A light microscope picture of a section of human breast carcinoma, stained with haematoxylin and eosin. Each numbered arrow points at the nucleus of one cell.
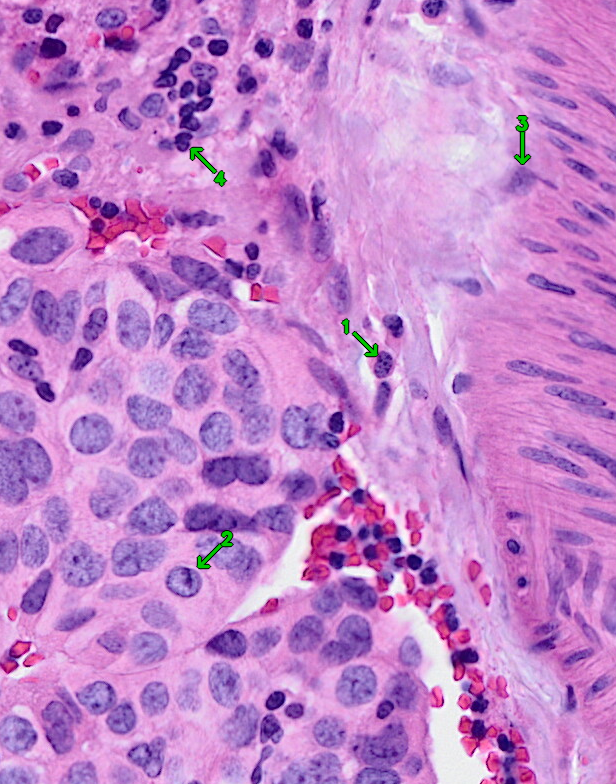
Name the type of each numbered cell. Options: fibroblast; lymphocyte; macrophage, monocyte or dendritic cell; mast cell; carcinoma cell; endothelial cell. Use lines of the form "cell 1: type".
cell 1: mast cell
cell 2: carcinoma cell
cell 3: fibroblast
cell 4: lymphocyte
